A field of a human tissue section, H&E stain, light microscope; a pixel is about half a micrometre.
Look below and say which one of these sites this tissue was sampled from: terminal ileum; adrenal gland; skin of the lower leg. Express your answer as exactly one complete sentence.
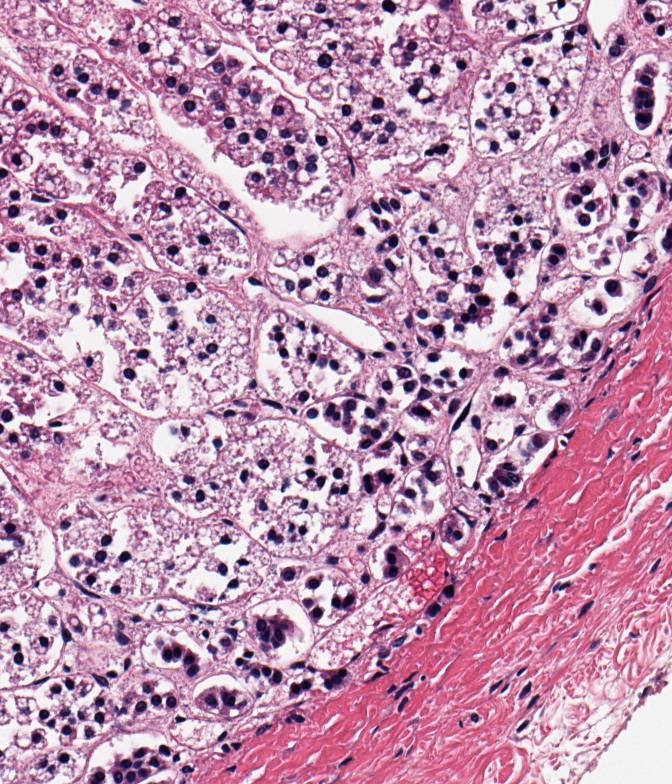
The sample on this slide was obtained from the adrenal gland.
